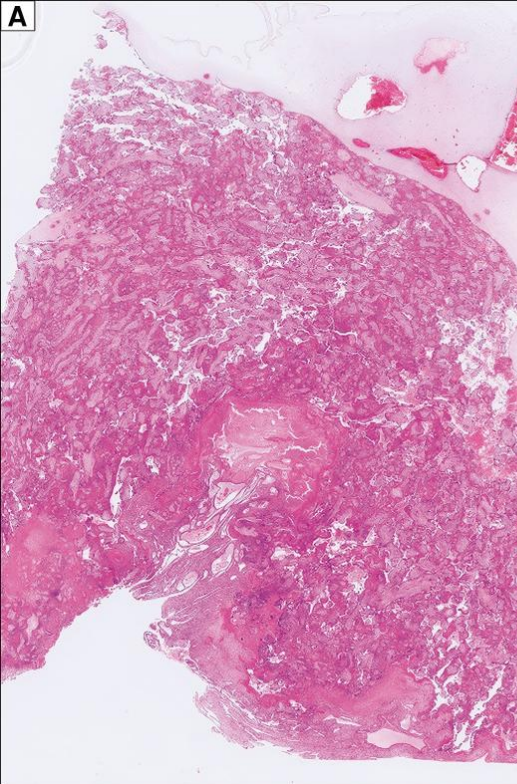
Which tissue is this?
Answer: Placenta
